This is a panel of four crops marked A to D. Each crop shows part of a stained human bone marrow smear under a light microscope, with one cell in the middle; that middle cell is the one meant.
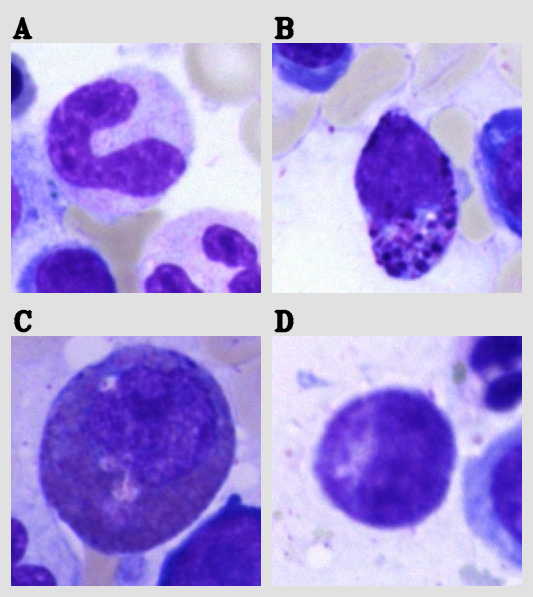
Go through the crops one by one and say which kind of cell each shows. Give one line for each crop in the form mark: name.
A: band neutrophil
B: basophil
C: eosinophil
D: promyelocyte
